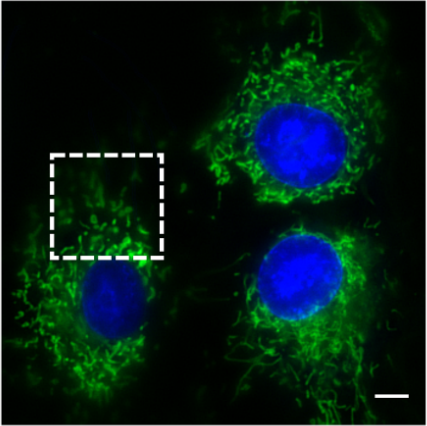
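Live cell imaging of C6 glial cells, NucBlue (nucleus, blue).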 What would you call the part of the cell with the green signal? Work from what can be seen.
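Mitochondria. Green threadlike and short rod-shaped bodies fill the cytoplasm around each blue nucleus. The green network is densest near the nucleus and thins toward the cell edge.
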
